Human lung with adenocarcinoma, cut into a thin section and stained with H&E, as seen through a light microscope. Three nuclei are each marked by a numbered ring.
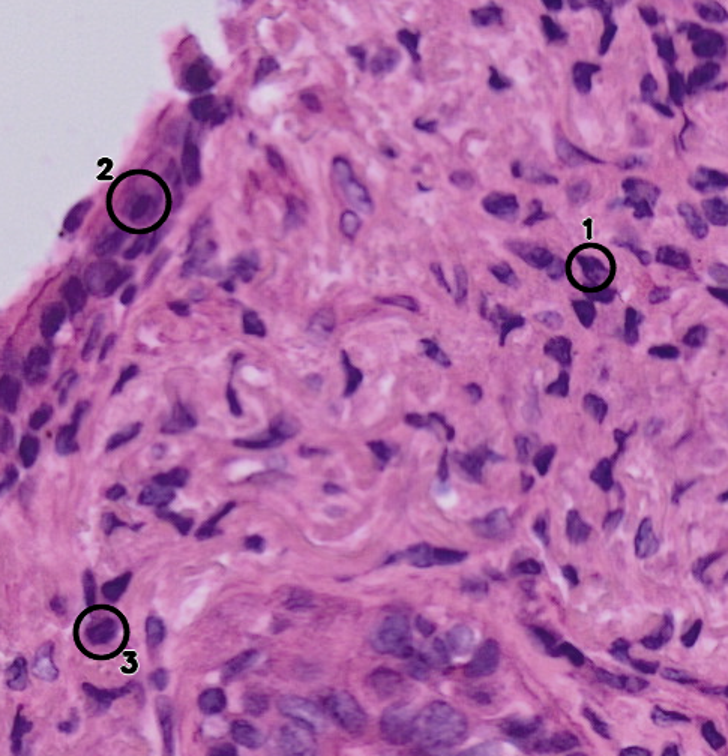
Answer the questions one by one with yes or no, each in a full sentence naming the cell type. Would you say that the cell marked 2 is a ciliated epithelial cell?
Yes, the marked cell with number 2 is a ciliated epithelial cell.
